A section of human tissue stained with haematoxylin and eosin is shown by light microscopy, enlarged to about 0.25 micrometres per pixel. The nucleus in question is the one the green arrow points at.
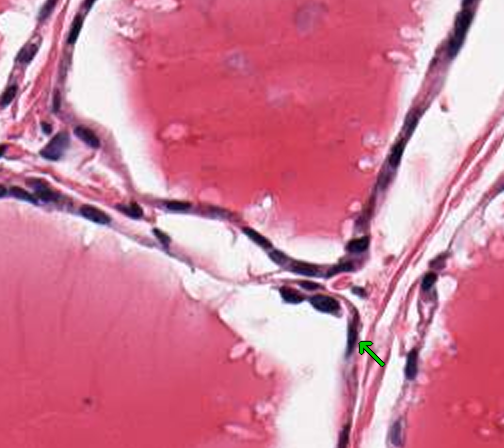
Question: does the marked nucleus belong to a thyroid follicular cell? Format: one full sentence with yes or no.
Yes, the marked nucleus is identified as that of a thyroid follicular cell.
